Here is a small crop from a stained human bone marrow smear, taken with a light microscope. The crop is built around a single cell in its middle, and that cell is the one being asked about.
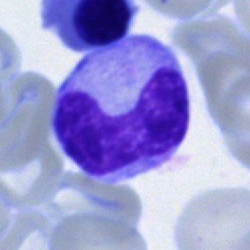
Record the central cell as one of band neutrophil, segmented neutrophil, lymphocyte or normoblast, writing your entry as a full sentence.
Within this crop, a band neutrophil occupies the central position.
